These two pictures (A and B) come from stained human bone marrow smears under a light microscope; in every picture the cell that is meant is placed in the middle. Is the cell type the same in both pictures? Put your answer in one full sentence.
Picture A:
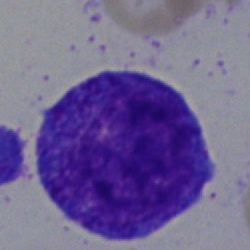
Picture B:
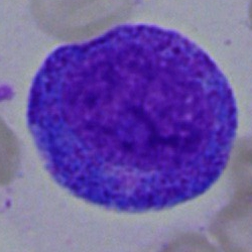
Yes, the two pictures both show promyelocytes.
